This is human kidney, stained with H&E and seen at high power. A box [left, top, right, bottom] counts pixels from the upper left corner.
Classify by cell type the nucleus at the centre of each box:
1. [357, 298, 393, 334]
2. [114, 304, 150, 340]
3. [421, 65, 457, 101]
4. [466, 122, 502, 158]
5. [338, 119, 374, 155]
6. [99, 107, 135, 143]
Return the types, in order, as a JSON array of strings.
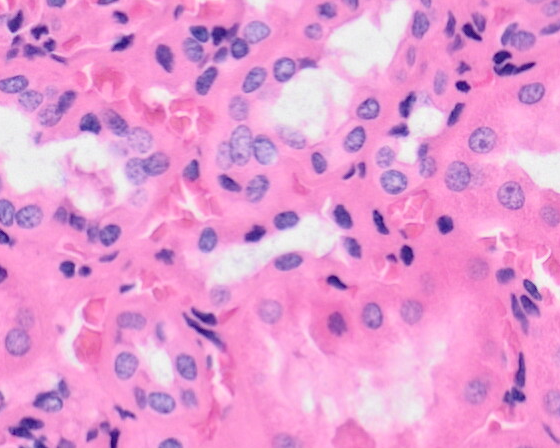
["proximal tubule cell", "collecting duct cell", "collecting duct cell", "proximal tubule cell", "collecting duct cell", "collecting duct cell"]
